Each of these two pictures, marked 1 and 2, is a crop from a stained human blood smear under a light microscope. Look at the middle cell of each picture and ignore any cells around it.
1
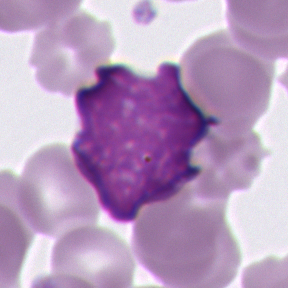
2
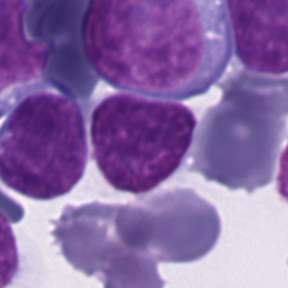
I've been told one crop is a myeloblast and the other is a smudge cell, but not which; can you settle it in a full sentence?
The cell of crop 1 is a smudge cell; that of crop 2 is a myeloblast.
